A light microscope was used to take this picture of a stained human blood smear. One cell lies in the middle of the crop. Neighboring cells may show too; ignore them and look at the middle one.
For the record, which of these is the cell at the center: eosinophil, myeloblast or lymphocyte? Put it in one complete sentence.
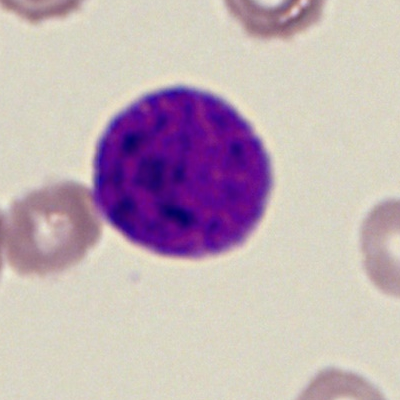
The cell the crop is centered on is a myeloblast.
